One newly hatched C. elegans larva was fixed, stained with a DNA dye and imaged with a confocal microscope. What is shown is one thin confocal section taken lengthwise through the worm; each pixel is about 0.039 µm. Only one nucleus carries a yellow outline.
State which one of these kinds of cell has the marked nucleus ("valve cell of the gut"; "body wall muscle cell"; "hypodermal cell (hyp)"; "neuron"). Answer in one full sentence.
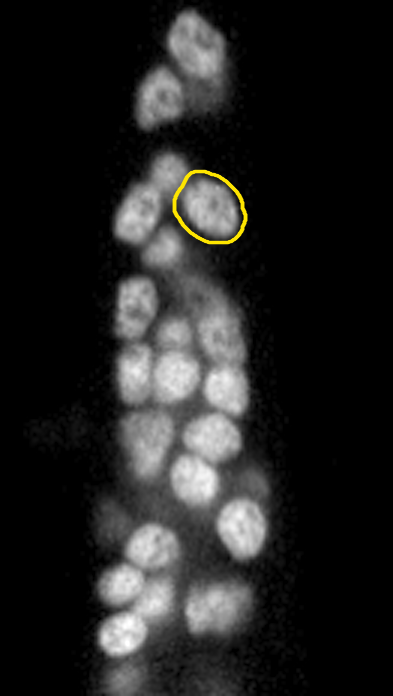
What is marked is the nucleus of a neuron.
